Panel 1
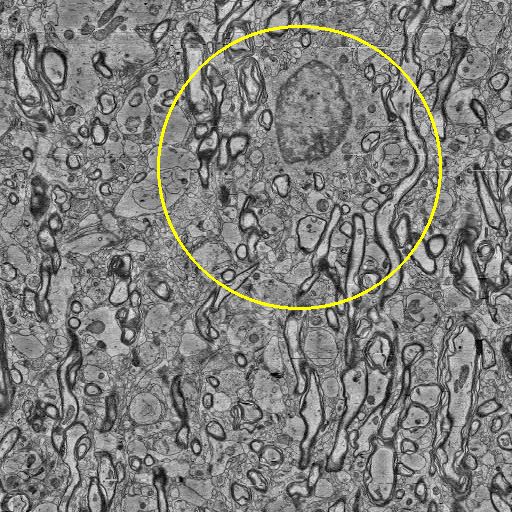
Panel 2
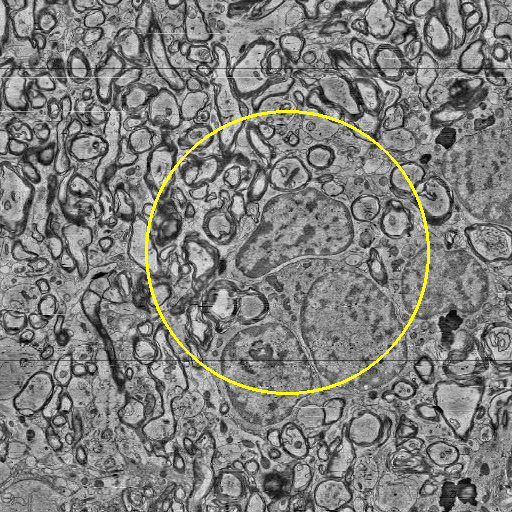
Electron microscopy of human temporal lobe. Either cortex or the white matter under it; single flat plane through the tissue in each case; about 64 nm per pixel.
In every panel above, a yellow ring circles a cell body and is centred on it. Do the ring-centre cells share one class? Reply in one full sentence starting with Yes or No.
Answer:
No, the two cells at the ring centres in the panels belong to two classes.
